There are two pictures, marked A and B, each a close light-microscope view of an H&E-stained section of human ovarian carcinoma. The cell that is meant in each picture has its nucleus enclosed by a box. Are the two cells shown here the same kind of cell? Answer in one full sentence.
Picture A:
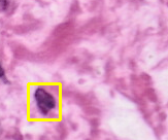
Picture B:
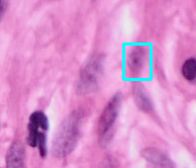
No, they differ: the cell is a “macrophage or monocyte” in picture A and a fibroblast in picture B.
